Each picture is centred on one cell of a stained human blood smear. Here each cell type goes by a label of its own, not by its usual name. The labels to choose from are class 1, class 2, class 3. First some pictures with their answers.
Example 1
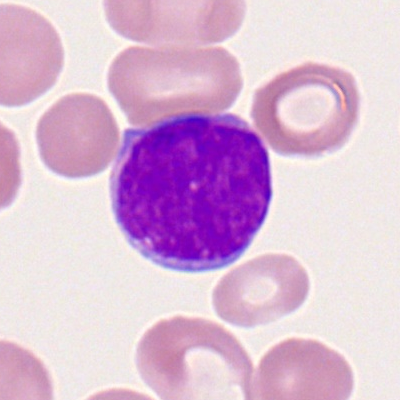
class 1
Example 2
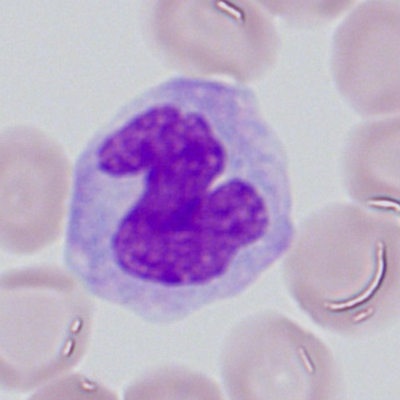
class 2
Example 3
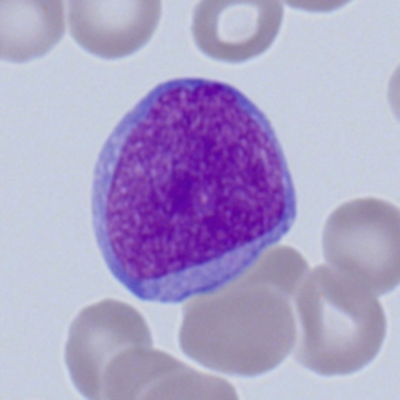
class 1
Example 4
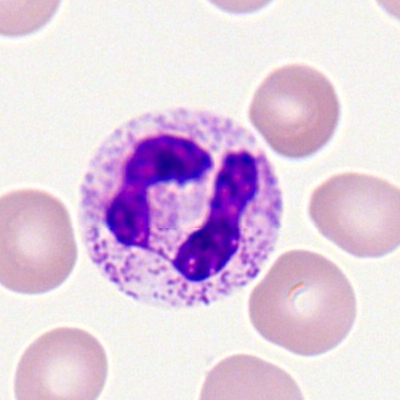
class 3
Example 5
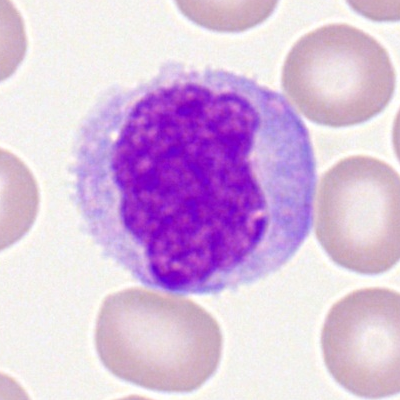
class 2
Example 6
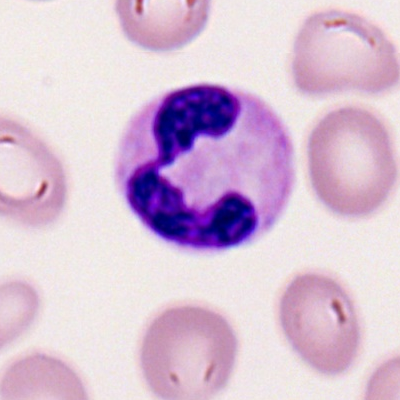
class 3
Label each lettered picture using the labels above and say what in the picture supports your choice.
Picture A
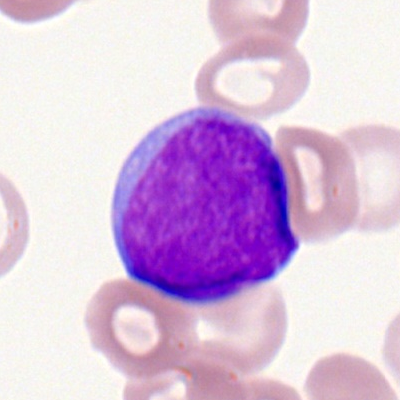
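class 1. The cytoplasm forms only a thin rim around the nucleus.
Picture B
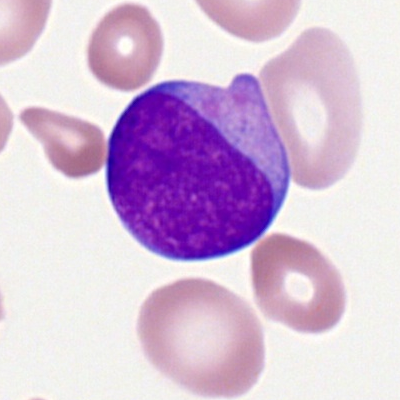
class 1. The nucleus fills most of the cell and lies toward the lower left.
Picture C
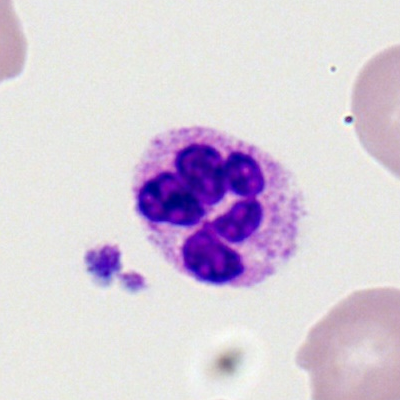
class 3. A moderate rim of pale pink cytoplasm surrounds the lobes.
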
